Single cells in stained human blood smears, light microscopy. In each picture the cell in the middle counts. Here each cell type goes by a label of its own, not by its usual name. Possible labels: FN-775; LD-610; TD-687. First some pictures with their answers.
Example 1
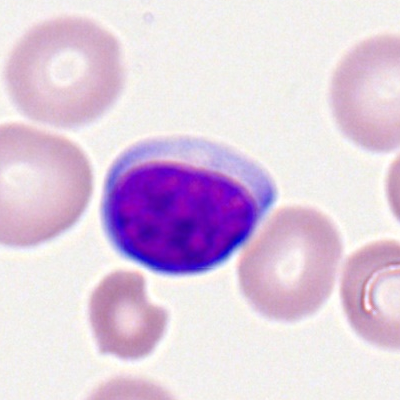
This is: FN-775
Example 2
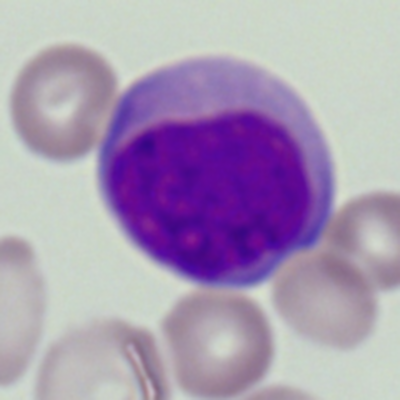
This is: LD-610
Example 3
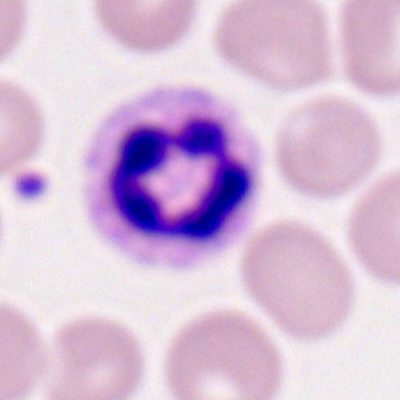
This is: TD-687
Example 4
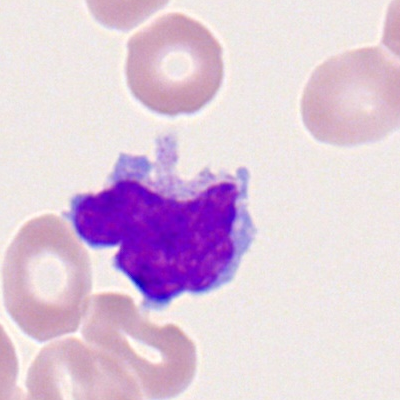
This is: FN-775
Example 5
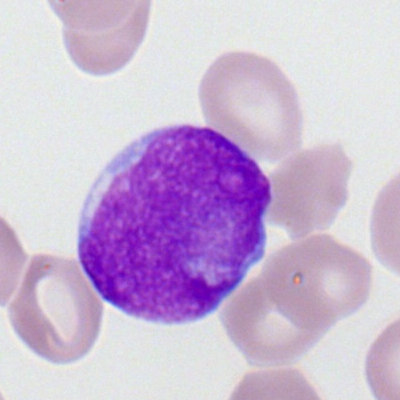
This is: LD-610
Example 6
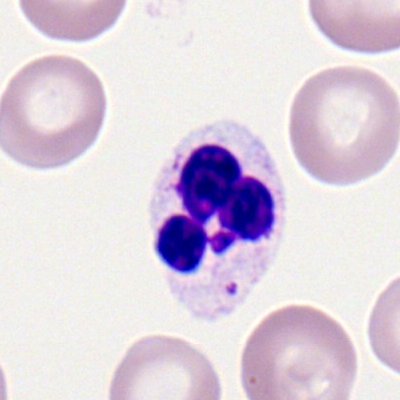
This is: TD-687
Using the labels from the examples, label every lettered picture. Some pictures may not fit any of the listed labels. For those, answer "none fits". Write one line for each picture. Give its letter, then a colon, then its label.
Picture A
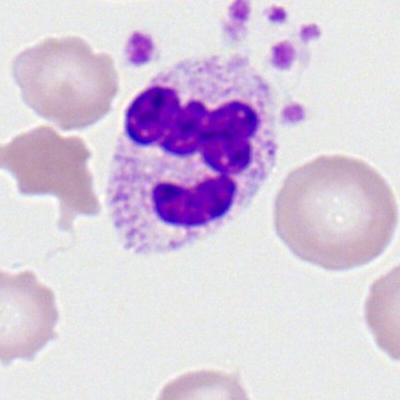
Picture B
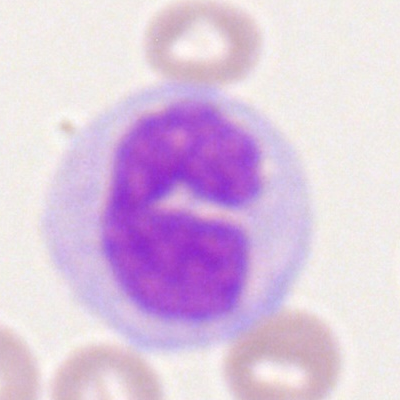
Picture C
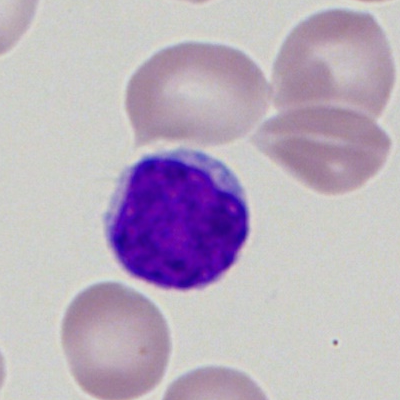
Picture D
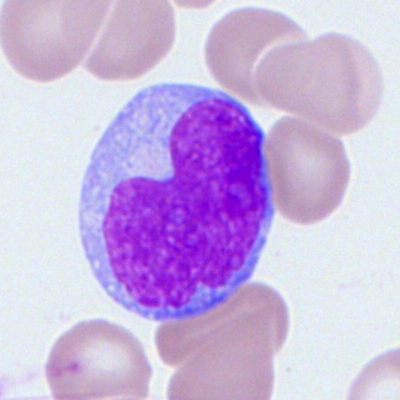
A: TD-687
B: none fits
C: FN-775
D: LD-610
